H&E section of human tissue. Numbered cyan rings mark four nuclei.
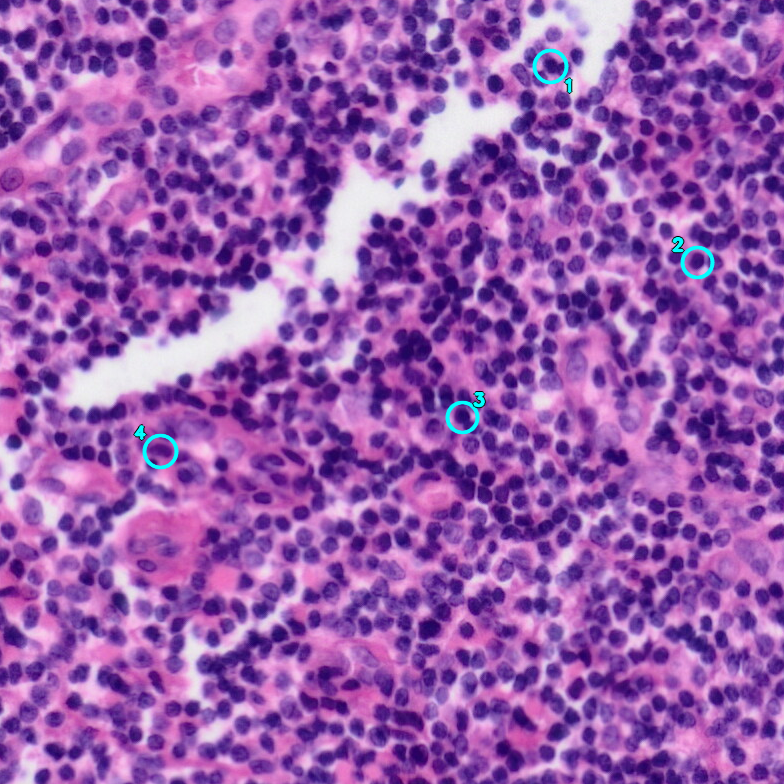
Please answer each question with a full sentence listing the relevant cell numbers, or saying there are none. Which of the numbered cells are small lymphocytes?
By cell type, the cells numbered 1, 2 and 3 are small lymphocytes.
